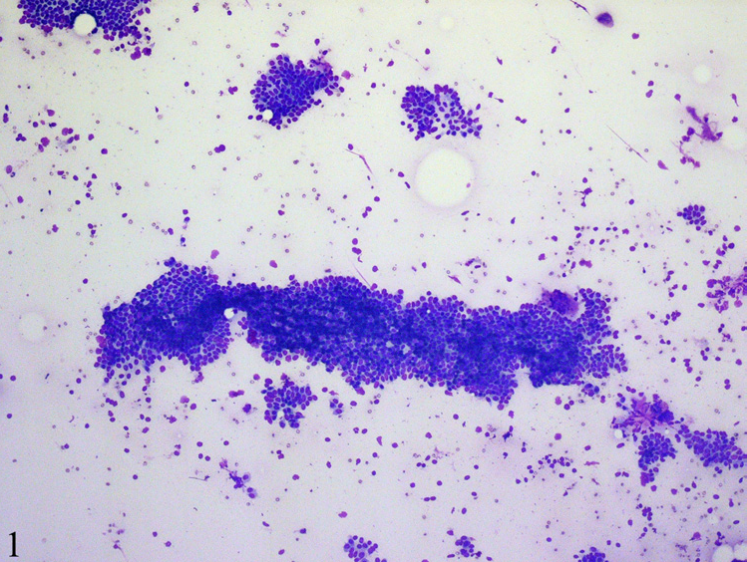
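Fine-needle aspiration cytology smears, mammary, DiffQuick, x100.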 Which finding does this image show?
bare nuclei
